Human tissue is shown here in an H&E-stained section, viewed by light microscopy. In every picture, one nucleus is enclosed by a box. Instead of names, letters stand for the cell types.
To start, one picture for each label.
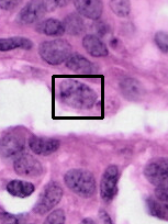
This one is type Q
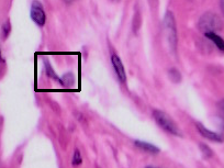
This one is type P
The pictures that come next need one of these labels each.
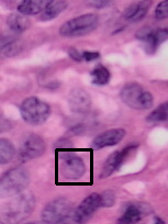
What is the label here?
type Q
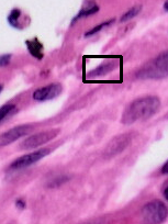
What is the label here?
type P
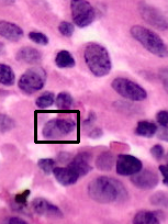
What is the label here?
type Q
